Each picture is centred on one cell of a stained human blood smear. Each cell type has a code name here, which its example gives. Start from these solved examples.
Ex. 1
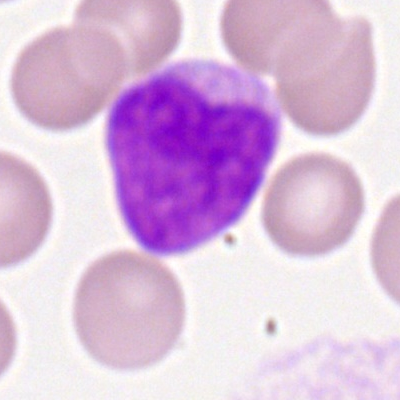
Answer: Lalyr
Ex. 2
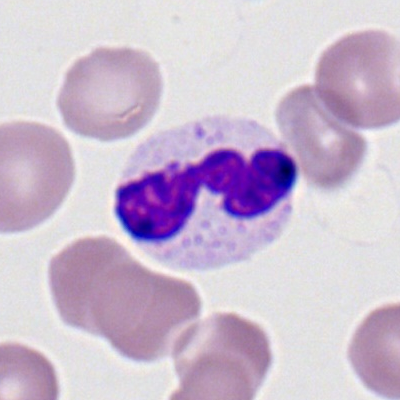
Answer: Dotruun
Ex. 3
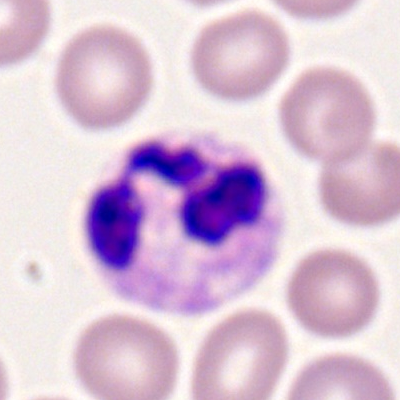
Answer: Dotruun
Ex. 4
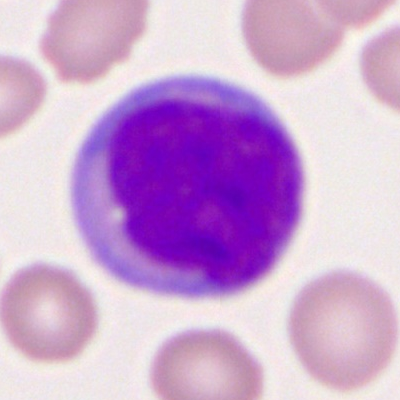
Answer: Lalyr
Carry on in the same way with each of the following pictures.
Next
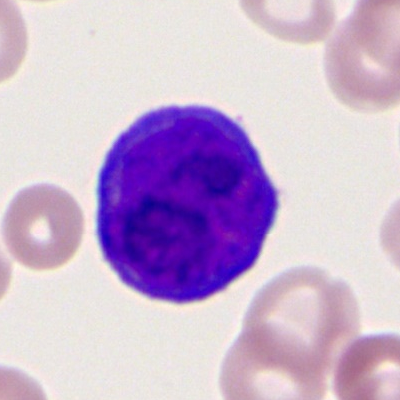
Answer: Lalyr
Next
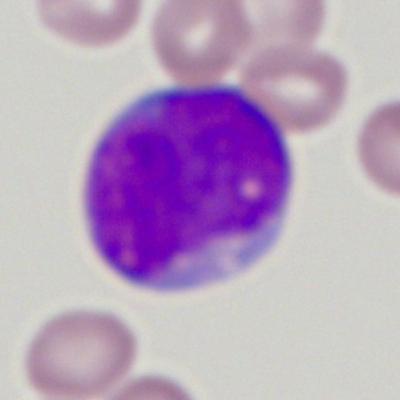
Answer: Lalyr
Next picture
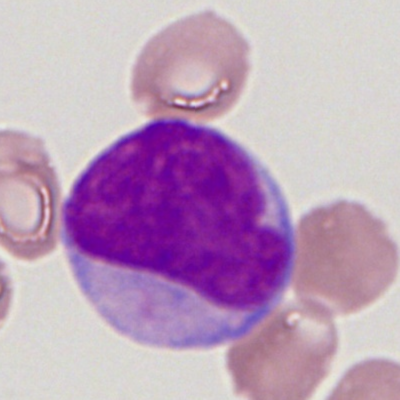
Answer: Lalyr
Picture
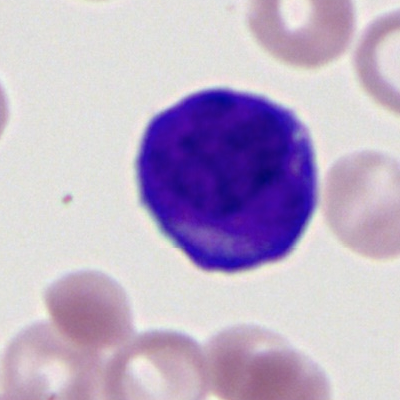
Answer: Lalyr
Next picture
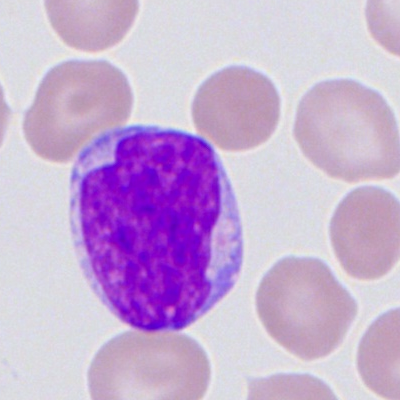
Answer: Lalyr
